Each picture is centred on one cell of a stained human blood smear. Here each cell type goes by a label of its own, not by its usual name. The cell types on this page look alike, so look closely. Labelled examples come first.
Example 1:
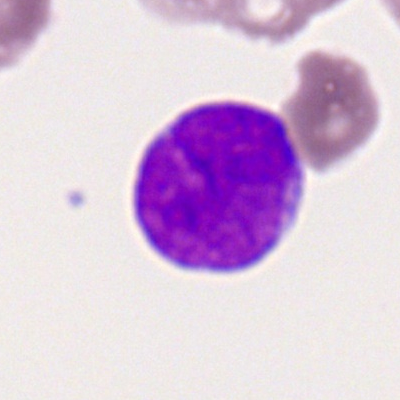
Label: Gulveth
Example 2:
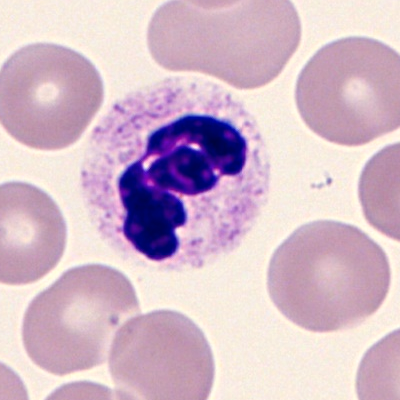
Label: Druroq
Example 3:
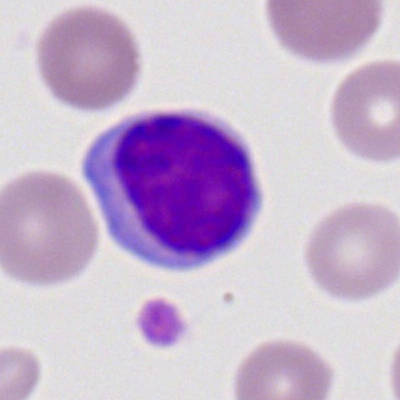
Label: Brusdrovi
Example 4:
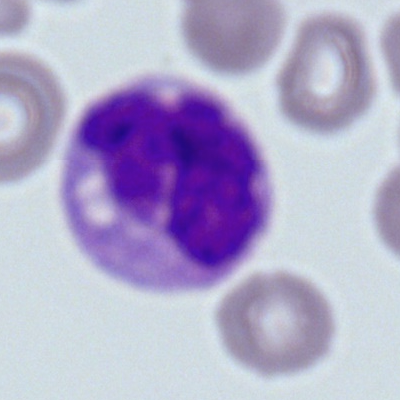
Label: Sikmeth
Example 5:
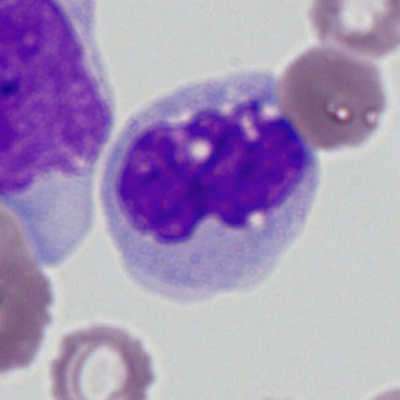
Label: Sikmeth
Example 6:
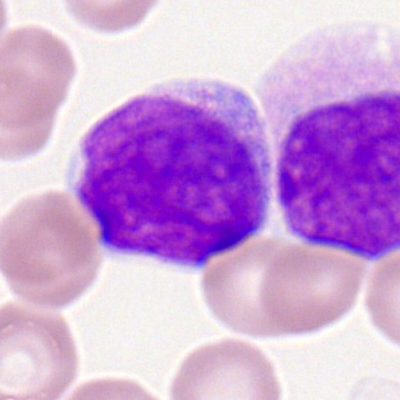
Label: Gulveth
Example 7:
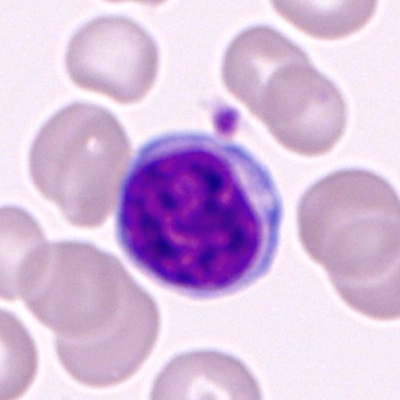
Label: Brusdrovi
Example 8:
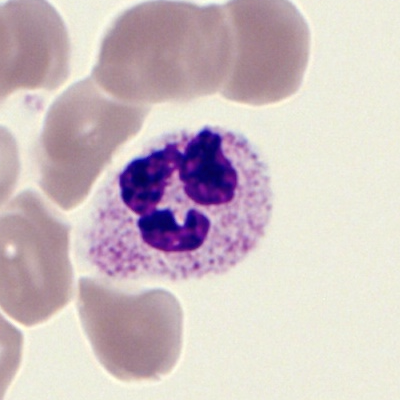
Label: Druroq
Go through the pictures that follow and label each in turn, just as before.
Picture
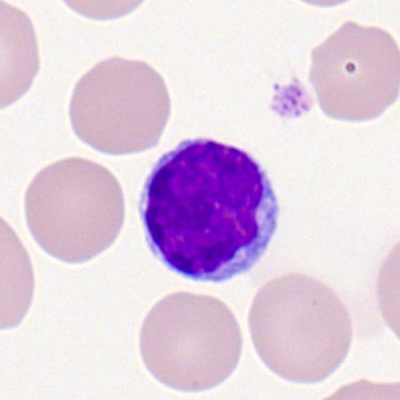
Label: Brusdrovi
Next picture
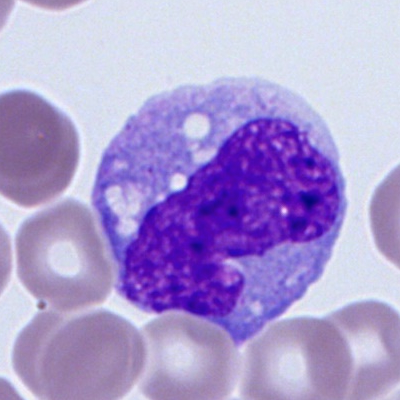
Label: Sikmeth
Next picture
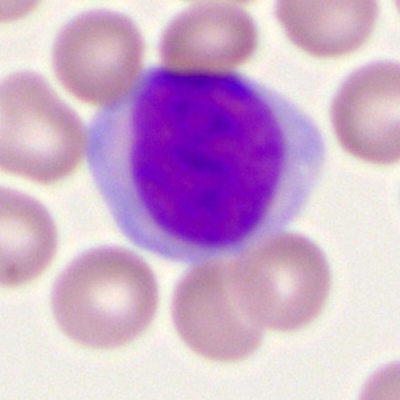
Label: Gulveth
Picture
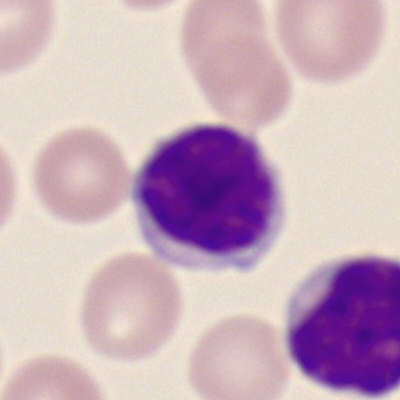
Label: Brusdrovi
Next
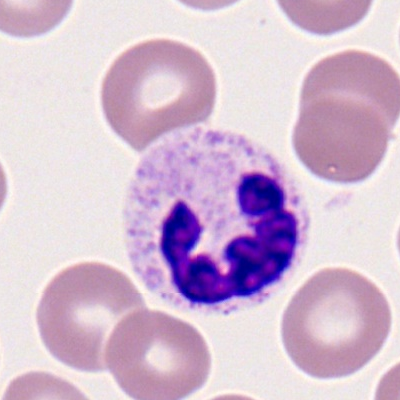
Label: Druroq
